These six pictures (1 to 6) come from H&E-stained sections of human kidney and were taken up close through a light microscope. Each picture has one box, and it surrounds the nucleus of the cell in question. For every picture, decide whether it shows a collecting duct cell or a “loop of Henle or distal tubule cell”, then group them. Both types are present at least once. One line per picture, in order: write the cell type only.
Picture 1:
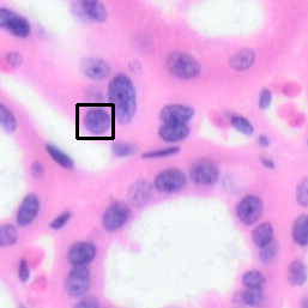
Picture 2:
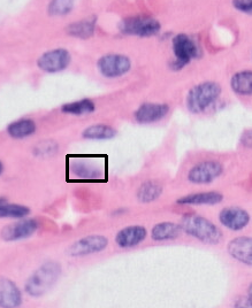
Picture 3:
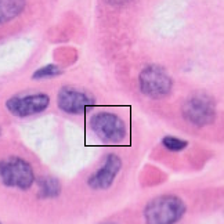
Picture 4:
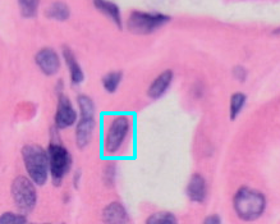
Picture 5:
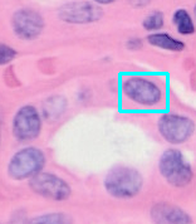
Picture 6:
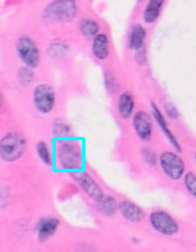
collecting duct cell
loop of Henle or distal tubule cell
collecting duct cell
loop of Henle or distal tubule cell
collecting duct cell
collecting duct cell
